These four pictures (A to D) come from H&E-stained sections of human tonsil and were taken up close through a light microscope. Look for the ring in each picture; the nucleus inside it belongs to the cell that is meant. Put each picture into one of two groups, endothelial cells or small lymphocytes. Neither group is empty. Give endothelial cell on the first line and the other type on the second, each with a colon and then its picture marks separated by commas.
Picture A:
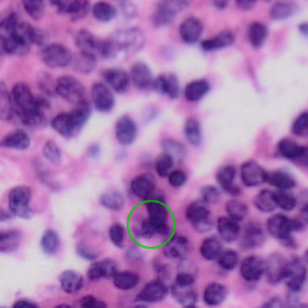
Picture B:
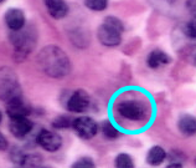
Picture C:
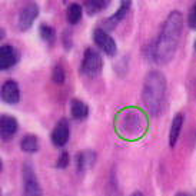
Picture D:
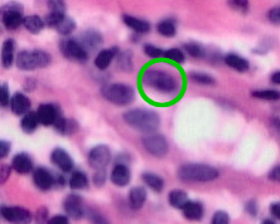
endothelial cell: B, C, D
small lymphocyte: A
